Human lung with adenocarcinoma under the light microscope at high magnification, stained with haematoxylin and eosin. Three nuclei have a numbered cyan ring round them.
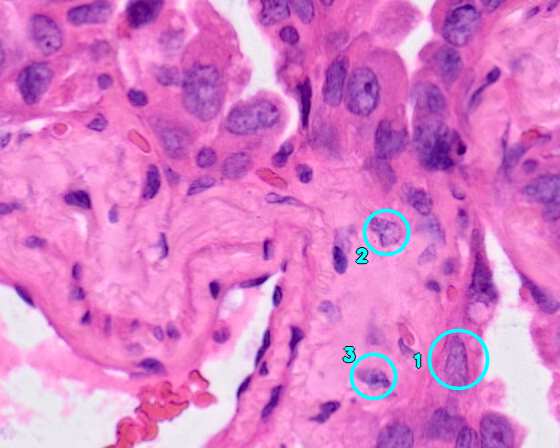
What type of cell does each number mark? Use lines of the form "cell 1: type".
cell 1: carcinoma cell
cell 2: fibroblast
cell 3: fibroblast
